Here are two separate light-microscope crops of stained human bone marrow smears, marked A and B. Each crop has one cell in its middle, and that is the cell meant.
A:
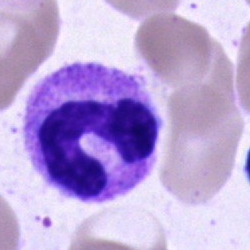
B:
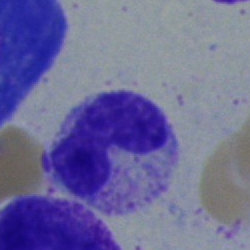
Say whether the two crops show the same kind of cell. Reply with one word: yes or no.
yes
